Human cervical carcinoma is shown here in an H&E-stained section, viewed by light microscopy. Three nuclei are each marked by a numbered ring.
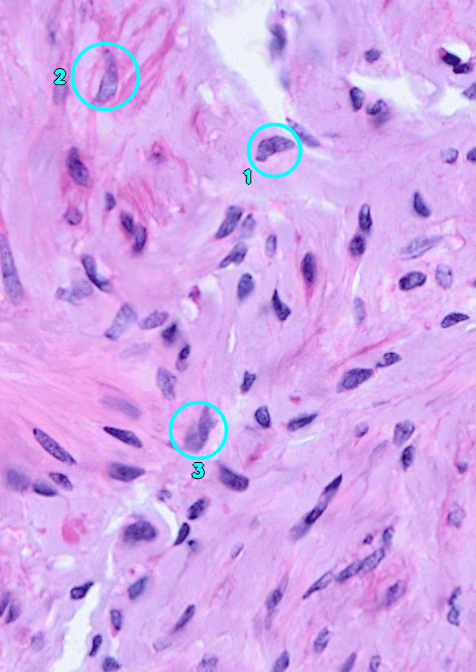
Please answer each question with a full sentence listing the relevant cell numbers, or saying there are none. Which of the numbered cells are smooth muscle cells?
Only number 2 is a smooth muscle cell; none of the others are.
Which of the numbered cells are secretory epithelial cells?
None of the cells bearing numbers are secretory epithelial cells.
